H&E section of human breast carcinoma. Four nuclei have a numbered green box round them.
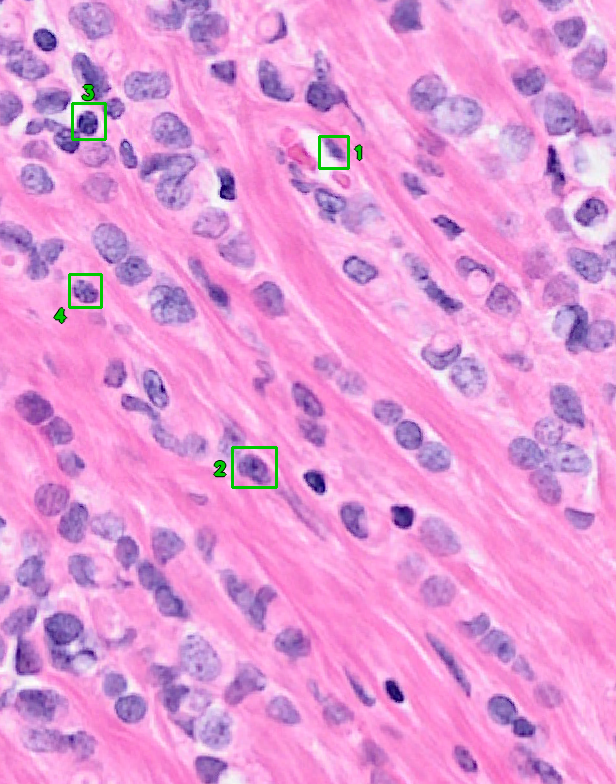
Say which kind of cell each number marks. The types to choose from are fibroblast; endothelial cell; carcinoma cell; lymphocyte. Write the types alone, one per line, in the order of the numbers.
endothelial cell
lymphocyte
lymphocyte
lymphocyte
